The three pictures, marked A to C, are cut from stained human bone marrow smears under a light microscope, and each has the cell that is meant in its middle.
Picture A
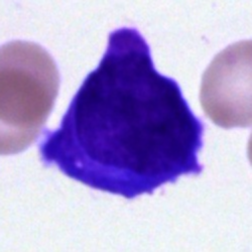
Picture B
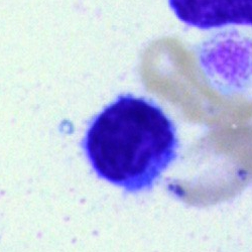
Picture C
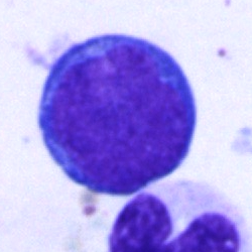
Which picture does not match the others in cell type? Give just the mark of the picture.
B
